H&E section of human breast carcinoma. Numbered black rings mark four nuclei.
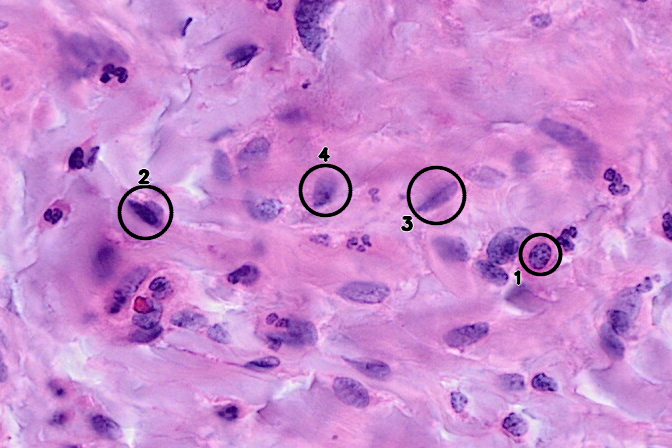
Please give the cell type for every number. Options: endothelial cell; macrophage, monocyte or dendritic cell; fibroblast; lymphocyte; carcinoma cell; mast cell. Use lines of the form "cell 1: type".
cell 1: mast cell
cell 2: fibroblast
cell 3: fibroblast
cell 4: fibroblast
